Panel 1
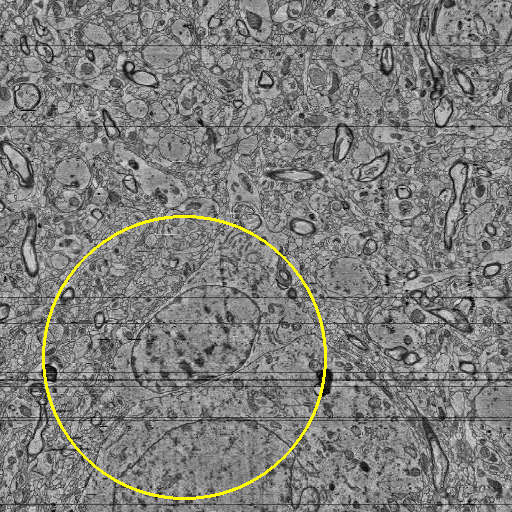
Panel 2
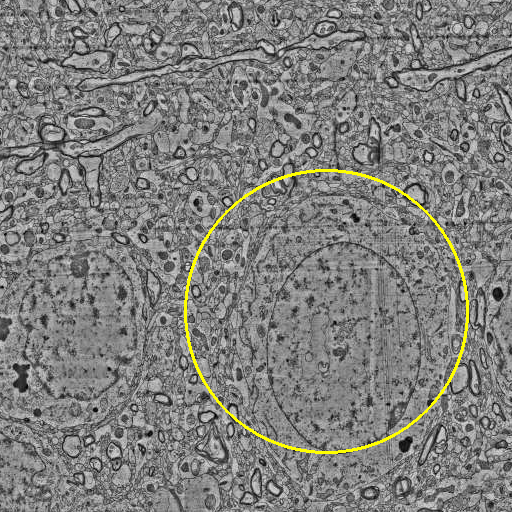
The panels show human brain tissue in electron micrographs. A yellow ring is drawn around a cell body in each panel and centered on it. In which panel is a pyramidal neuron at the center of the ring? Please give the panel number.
2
